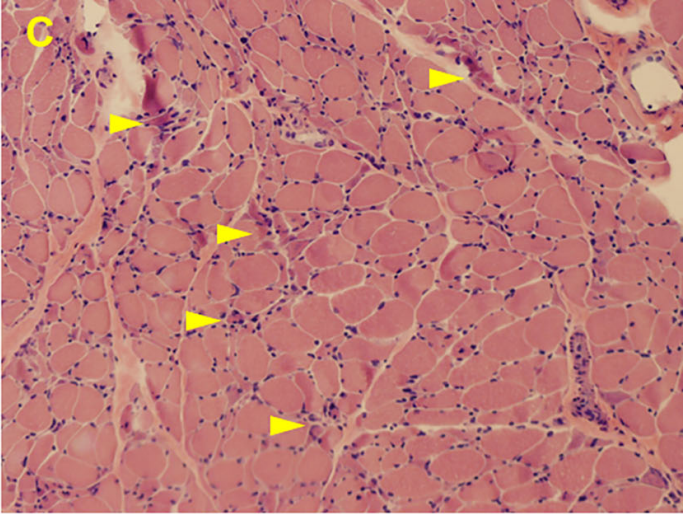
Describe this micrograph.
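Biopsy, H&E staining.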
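This is skeletal muscle cut in cross section, with polygonal myofibers that have pink cytoplasm and small dark nuclei lying at their edges. The fibers vary in size: scattered among the larger fibers are small, angular, atrophic fibers. In places the spaces between fibers hold more nuclei than usual, and a few small blood vessels run in the connective tissue between the fascicles.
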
